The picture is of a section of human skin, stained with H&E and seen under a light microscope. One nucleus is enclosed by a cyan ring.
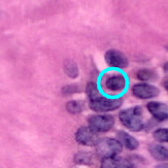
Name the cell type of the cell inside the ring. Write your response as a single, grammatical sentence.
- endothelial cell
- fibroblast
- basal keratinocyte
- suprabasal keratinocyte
What the cell inside the ring represents is a basal keratinocyte.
